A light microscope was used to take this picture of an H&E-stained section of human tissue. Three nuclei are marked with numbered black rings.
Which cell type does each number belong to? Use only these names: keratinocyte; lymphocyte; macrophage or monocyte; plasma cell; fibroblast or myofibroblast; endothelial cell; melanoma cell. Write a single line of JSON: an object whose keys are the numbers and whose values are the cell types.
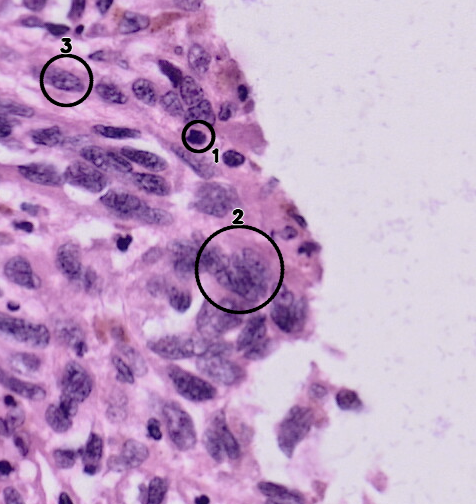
{"1": "lymphocyte", "2": "melanoma cell", "3": "melanoma cell"}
